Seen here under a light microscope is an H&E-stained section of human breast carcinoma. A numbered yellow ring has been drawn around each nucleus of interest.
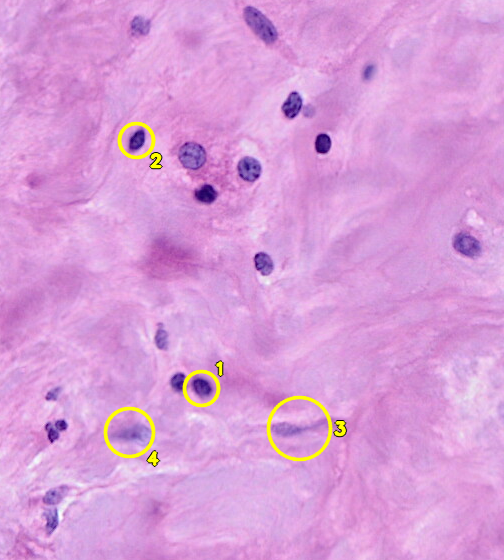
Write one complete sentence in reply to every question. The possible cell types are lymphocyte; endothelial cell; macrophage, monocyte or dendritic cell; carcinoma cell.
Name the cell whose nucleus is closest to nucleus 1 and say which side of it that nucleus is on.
Just to the left of nucleus 1 lies the nearest nucleus, which belongs to a lymphocyte.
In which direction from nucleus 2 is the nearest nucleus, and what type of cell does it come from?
The closest nucleus belongs to a macrophage, monocyte or dendritic cell and sits to the right of nucleus 2.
